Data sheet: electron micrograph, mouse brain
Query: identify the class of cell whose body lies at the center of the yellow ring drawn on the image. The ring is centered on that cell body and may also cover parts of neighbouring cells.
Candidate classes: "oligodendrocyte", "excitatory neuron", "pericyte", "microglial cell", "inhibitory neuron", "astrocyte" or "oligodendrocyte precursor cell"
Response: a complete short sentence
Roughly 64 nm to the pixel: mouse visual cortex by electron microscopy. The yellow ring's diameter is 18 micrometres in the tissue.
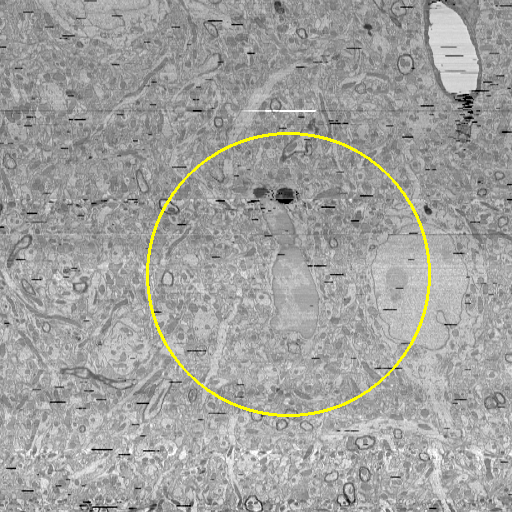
At the center of the ring lies a microglial cell.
